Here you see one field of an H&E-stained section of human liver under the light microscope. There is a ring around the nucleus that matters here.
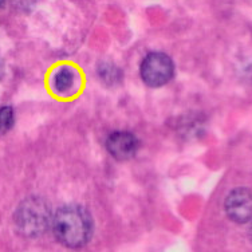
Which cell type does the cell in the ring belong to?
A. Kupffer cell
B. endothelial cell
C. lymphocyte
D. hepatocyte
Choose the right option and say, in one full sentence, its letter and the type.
Of the options offered, C is correct, as the cell in the ring is a lymphocyte.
